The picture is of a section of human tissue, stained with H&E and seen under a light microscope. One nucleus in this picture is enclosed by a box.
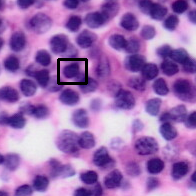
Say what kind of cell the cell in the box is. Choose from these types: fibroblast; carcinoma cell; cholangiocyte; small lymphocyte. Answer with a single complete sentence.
As a matter of cell type, the cell in the box is a small lymphocyte.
